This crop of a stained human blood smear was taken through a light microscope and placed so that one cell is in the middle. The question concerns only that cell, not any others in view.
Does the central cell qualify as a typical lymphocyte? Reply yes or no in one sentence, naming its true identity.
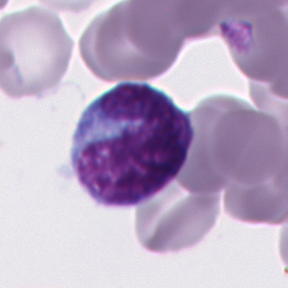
Yes, the cell at the center of the crop is a typical lymphocyte.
